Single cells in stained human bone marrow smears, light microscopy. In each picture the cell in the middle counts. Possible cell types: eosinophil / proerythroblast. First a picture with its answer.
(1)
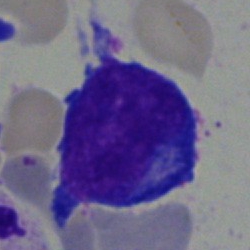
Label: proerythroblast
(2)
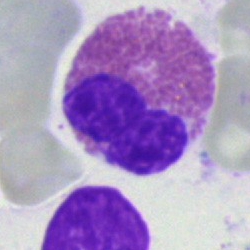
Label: eosinophil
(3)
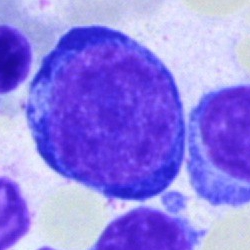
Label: proerythroblast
